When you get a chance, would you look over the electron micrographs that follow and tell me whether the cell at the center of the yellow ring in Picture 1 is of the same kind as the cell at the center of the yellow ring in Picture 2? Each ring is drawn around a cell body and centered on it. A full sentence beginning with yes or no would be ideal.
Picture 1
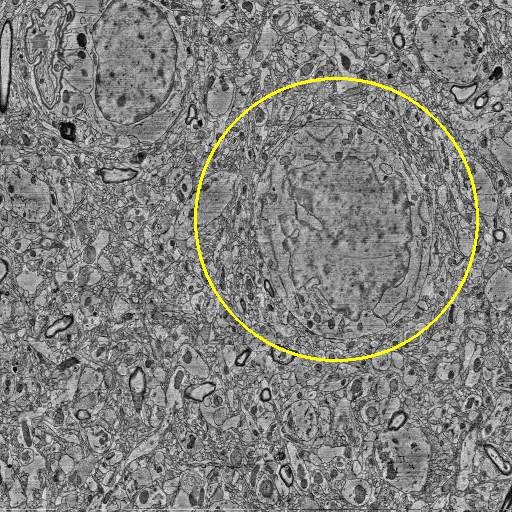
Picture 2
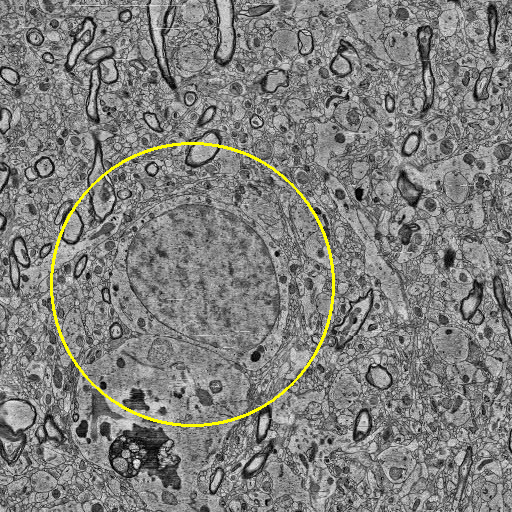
Yes, the two cells are of the same kind.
